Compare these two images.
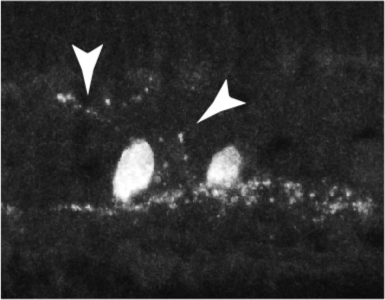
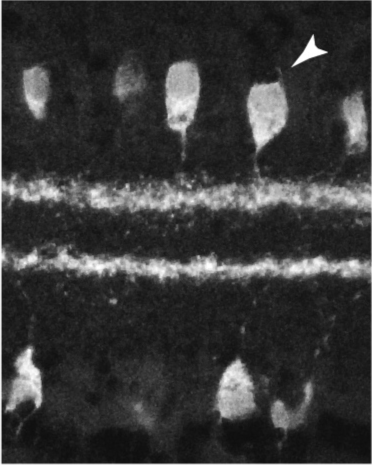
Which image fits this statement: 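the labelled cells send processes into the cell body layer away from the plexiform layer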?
The first image.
